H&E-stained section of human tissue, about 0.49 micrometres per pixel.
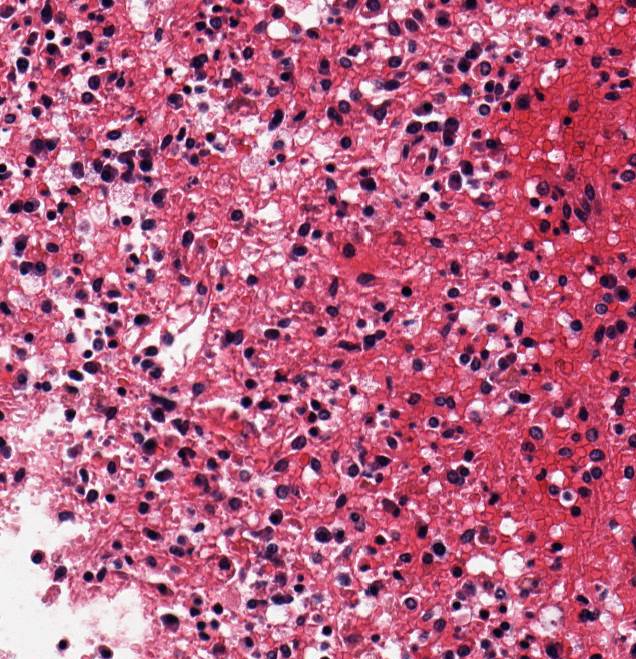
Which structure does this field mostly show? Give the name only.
red pulp of the spleen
